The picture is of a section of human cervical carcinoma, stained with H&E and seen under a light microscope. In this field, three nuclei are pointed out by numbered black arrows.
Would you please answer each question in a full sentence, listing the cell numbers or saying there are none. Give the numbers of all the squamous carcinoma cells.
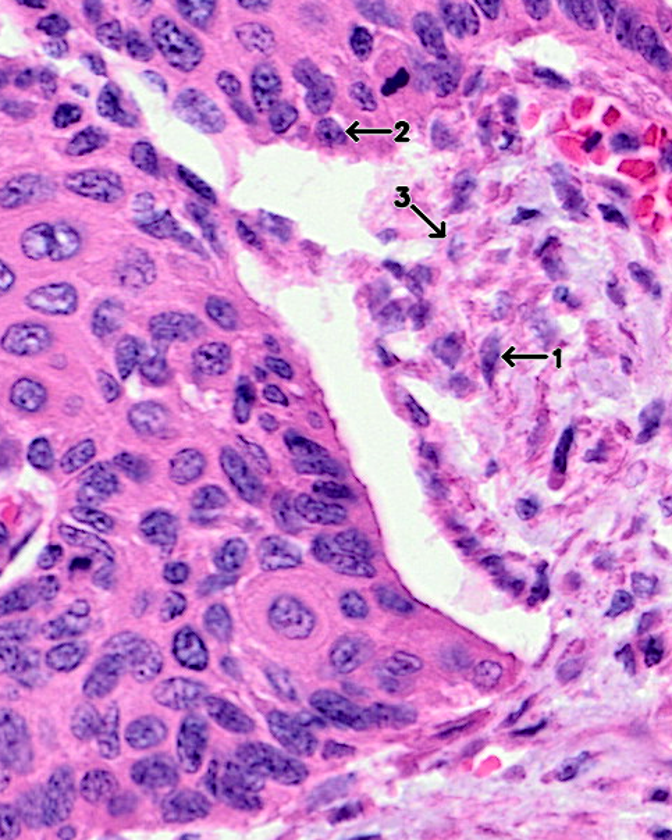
Cell 2 is the only one of the numbered cells that is a squamous carcinoma cell.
